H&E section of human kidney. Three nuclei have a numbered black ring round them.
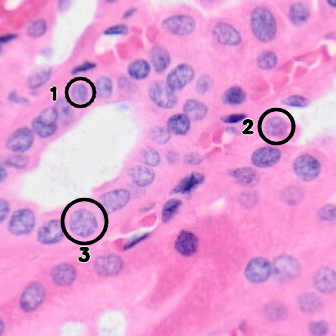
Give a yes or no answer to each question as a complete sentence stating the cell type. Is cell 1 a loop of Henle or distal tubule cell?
No, sorry, the cell labelled 1 is not a loop of Henle or distal tubule cell; it is a collecting duct cell.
